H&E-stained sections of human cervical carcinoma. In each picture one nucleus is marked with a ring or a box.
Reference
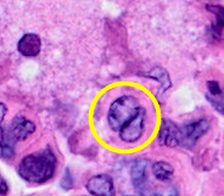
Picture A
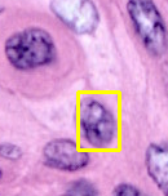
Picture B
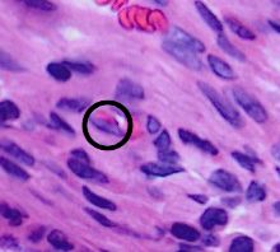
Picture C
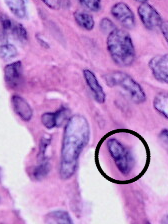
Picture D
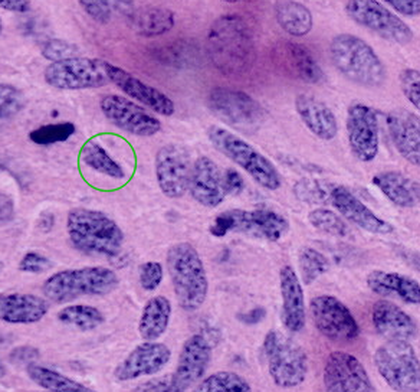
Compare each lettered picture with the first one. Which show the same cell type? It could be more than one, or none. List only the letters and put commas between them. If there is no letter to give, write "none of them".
A, C, D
